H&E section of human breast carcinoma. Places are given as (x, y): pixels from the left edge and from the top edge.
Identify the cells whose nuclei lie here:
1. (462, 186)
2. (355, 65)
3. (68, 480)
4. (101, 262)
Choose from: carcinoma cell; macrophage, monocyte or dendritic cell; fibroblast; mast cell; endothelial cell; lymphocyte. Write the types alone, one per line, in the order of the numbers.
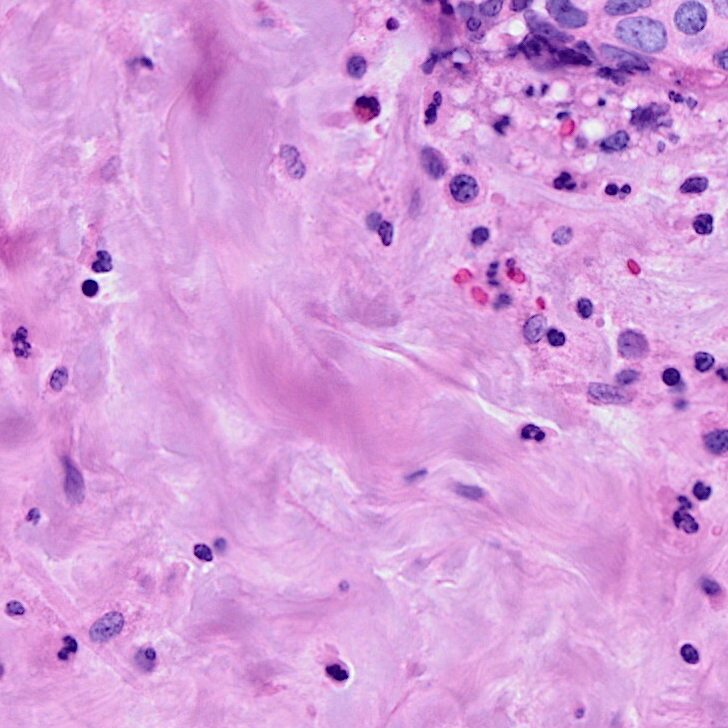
mast cell
mast cell
fibroblast
lymphocyte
